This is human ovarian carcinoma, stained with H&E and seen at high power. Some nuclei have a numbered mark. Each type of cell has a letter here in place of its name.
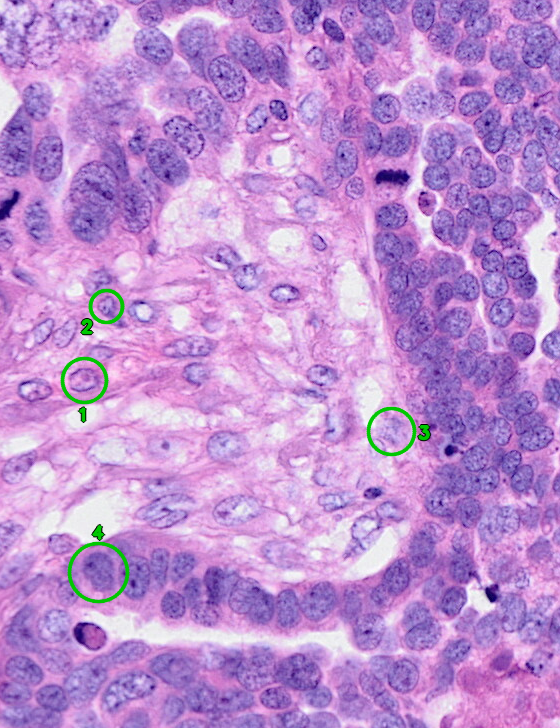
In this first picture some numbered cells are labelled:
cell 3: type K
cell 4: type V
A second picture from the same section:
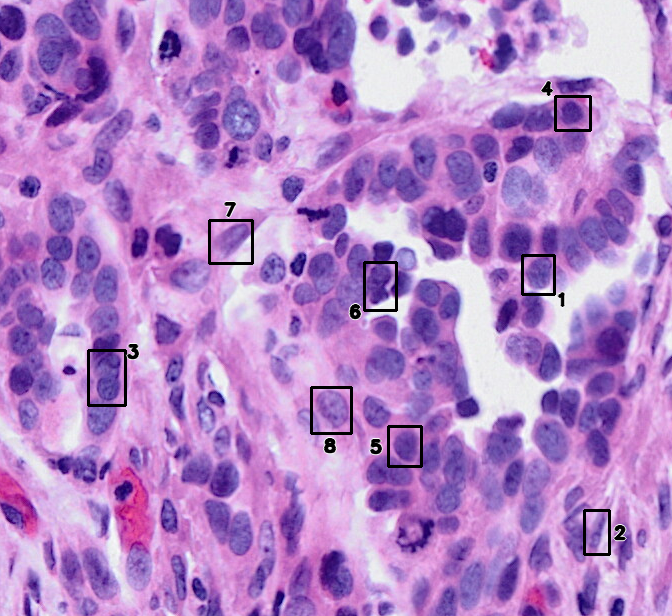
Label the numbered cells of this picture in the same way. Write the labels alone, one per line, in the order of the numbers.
type V
type K
type V
type V
type V
type V
type K
type K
